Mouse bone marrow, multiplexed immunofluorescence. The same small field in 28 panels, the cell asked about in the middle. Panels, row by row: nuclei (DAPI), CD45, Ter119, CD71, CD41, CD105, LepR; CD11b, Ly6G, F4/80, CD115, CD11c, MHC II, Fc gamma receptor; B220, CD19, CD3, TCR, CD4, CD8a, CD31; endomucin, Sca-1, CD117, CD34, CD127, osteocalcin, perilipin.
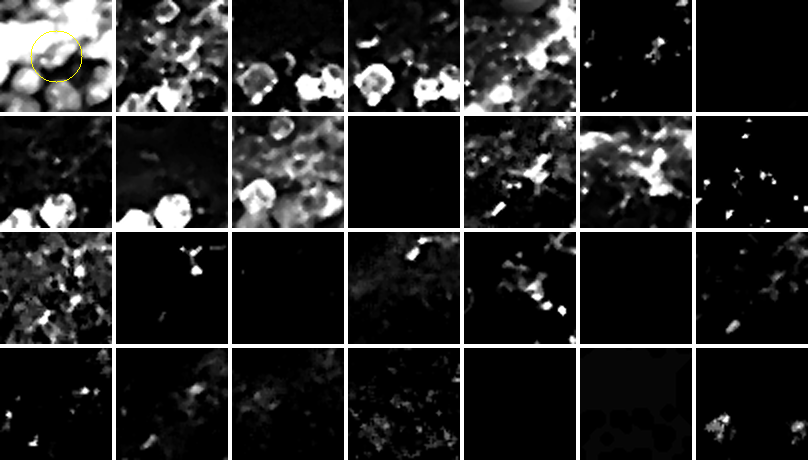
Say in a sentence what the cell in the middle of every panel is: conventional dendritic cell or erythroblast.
This is a conventional dendritic cell.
